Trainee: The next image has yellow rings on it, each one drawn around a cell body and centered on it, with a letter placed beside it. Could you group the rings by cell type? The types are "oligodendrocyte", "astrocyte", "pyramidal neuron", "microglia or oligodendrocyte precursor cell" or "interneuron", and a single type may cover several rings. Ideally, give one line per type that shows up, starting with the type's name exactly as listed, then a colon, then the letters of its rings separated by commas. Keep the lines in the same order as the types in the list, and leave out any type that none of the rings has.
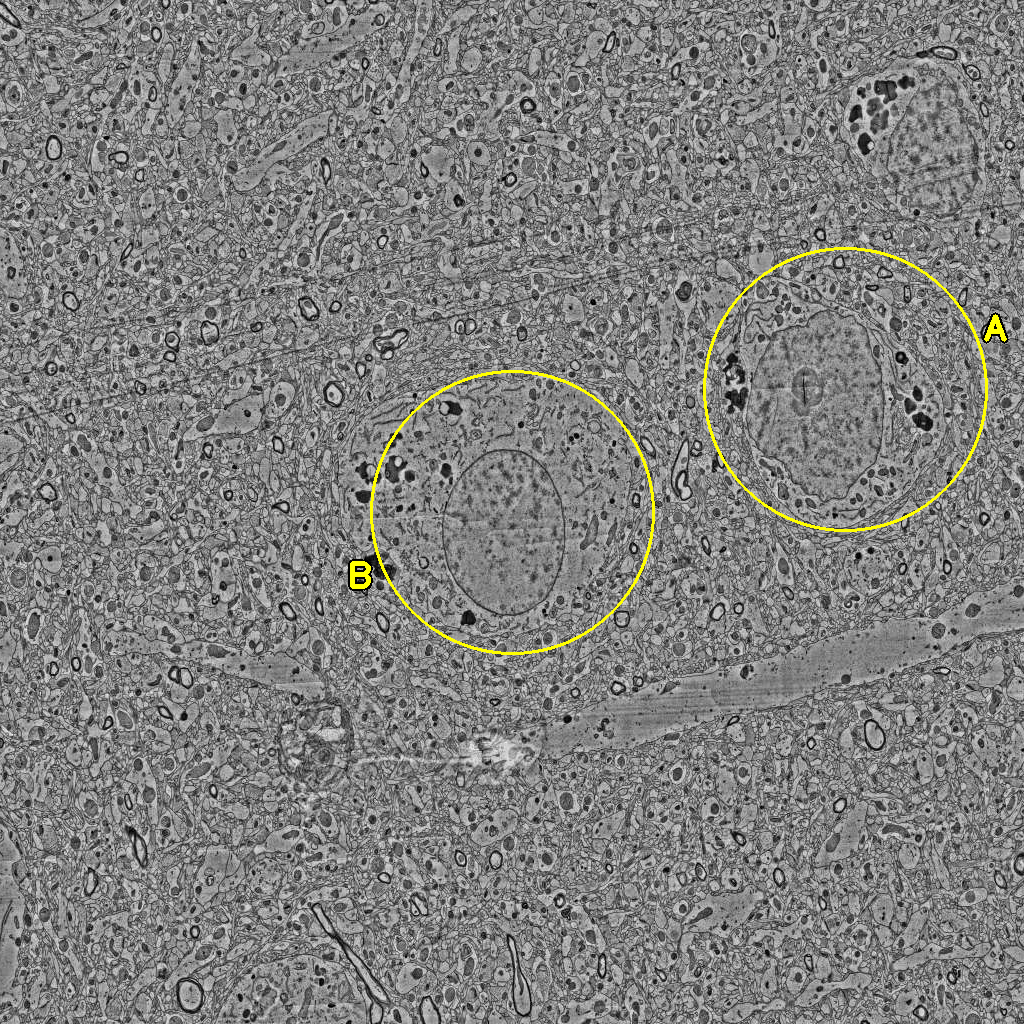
pyramidal neuron: B
interneuron: A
